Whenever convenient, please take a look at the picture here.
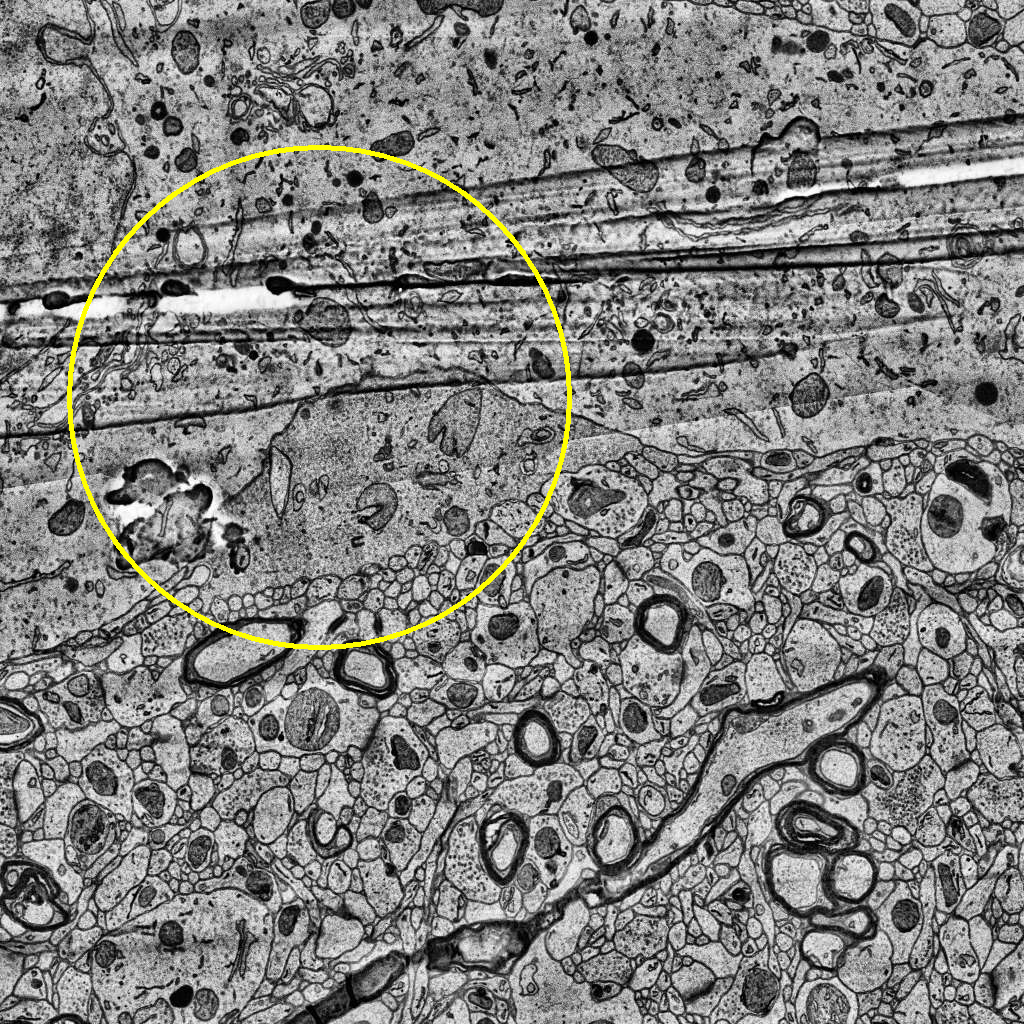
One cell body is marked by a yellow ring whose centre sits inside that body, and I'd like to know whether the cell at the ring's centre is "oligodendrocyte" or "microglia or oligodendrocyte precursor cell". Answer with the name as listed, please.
oligodendrocyte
